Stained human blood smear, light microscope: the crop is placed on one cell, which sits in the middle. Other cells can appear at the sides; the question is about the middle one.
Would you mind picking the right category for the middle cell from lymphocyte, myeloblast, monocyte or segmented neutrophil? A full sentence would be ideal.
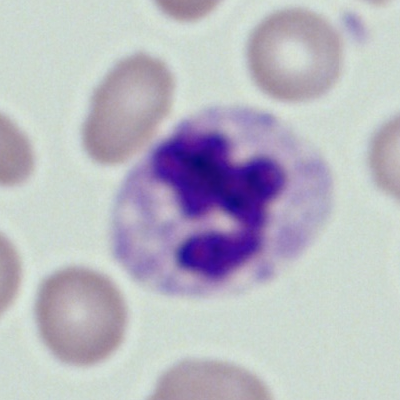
The center cell of this crop is a segmented neutrophil.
